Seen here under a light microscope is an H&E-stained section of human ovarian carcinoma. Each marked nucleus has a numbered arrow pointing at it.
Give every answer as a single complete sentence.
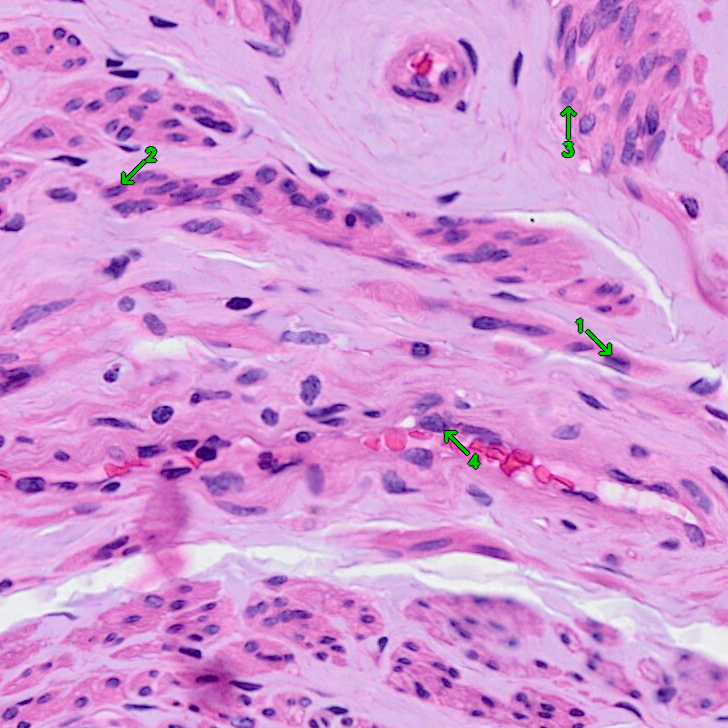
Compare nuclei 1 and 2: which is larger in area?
Of the two, number 1 is bigger and takes up about 1.5 times the area of number 2.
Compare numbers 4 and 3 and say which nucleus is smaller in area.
Nucleus 3 covers less area, with nucleus 4 about 3 times as large.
